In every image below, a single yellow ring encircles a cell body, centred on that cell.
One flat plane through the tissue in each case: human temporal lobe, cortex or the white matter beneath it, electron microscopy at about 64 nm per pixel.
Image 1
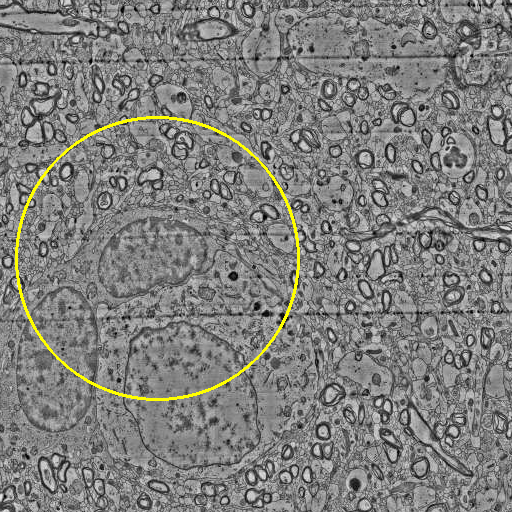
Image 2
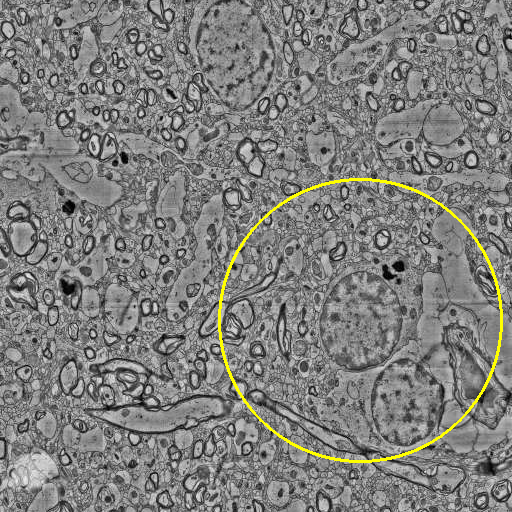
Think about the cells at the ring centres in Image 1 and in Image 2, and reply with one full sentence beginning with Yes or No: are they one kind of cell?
Yes, the cells centred in the rings of Image 1 and Image 2 are one kind of cell.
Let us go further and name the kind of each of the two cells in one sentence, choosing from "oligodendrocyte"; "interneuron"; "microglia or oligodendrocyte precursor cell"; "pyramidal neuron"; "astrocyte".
The second cell is an oligodendrocyte, just as the first is.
